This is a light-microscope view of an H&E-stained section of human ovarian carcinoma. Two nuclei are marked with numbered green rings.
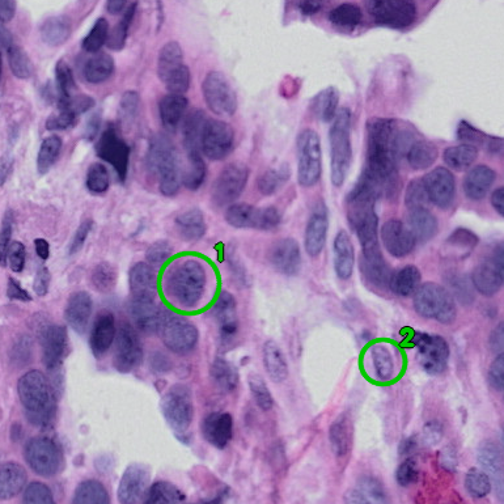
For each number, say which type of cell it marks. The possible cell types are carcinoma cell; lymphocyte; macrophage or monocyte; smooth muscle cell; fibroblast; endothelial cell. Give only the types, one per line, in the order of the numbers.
carcinoma cell
fibroblast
